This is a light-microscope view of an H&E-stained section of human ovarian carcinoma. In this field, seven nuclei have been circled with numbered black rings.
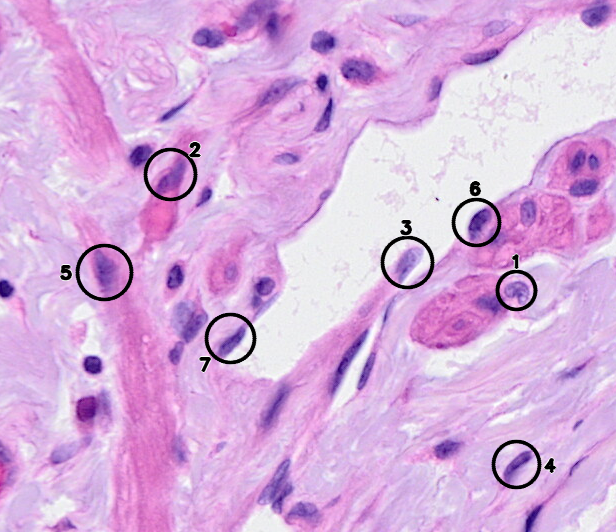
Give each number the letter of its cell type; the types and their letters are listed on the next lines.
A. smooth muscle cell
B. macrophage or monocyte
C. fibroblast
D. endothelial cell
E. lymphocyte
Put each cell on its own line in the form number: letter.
1: B
2: A
3: D
4: C
5: A
6: D
7: D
